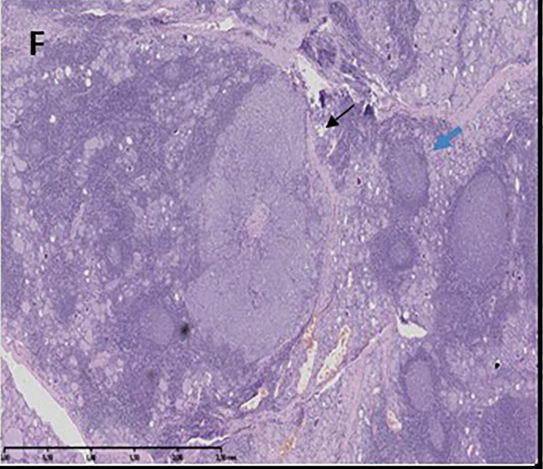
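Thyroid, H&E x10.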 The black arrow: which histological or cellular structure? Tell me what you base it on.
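The arrow points to a thin pink strand of fibrous tissue. The strand runs along the right edge of a large pale nodular area.
Fibrotic band.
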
